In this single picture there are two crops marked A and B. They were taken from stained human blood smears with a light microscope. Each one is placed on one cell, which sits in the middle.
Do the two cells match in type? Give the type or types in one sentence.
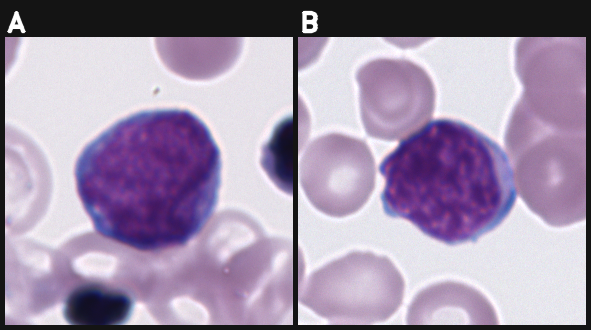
No, a myeloblast is in crop A, while a typical lymphocyte is in crop B.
